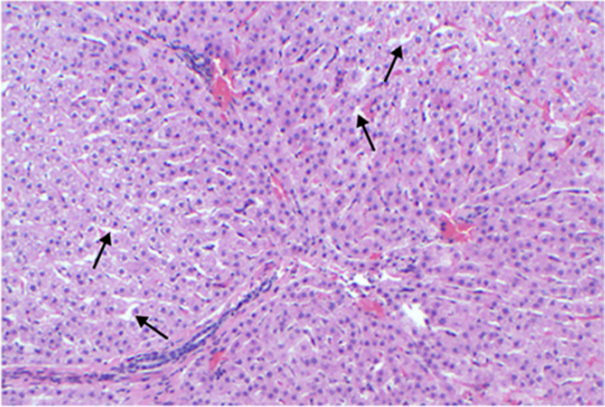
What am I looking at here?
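This is liver tissue in which the hepatocytes, with pink cytoplasm and round purple nuclei, are arranged in plates radiating through the lobule. Between these plates run many clear white slit-like spaces, the sinusoids, which look wider and more conspicuous than usual. A few small vessels containing pink-red blood lie among the cell plates. A band of densely packed dark purple nuclei runs along a strip of connective tissue near the lower part of the field. The hepatocytes themselves are polygonal with one central nucleus each.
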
